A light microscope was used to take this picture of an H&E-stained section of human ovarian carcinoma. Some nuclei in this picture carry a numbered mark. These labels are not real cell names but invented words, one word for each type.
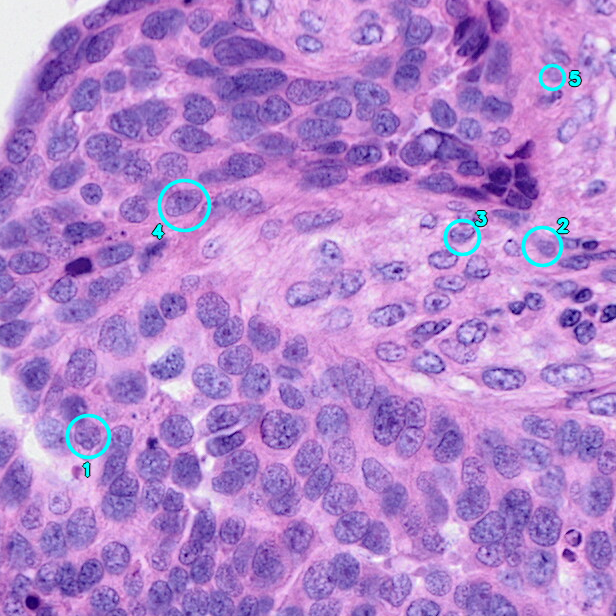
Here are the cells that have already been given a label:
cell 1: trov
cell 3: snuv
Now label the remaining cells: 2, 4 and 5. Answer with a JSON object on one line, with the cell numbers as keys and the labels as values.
{"2": "snuv", "4": "trov", "5": "snuv"}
